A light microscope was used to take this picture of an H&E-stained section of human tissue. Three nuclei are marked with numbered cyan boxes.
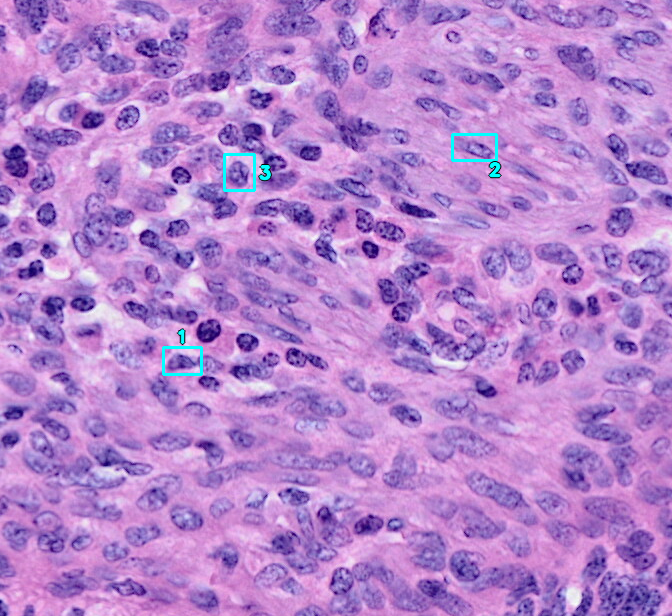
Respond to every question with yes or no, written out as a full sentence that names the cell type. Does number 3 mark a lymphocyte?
Yes, the one numbered 3 is a lymphocyte.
